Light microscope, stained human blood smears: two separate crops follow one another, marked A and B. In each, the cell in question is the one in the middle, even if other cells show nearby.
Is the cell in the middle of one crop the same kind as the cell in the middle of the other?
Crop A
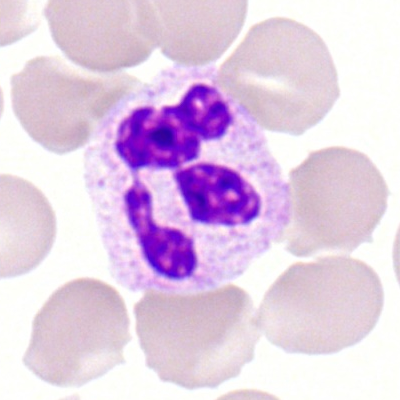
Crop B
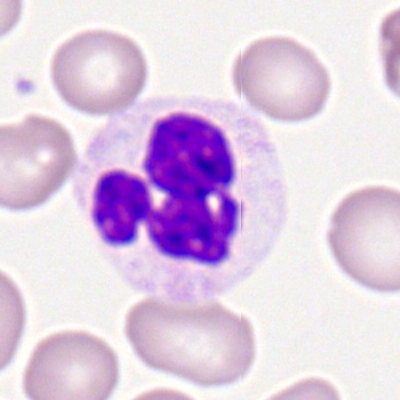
yes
